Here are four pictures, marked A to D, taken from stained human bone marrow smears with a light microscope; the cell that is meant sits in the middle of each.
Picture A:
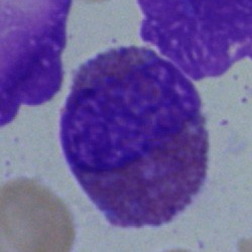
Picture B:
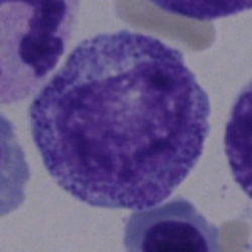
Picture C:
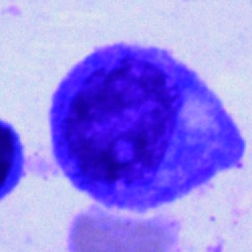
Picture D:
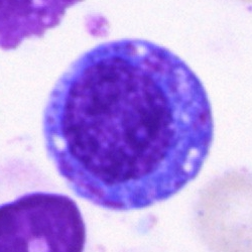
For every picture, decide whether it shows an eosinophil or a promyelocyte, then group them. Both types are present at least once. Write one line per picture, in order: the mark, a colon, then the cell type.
A: eosinophil
B: promyelocyte
C: promyelocyte
D: promyelocyte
